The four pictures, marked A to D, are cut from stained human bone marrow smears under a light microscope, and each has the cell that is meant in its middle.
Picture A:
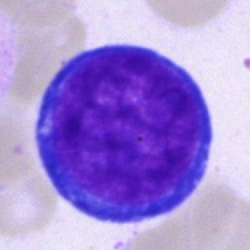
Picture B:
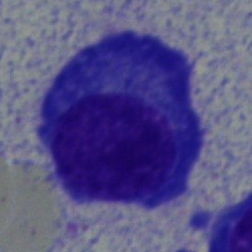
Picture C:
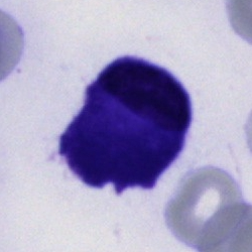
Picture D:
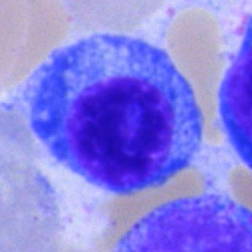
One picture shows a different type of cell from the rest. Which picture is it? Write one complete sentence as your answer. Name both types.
Picture A differs, because its cell is a proerythroblast and the rest are plasma cells.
